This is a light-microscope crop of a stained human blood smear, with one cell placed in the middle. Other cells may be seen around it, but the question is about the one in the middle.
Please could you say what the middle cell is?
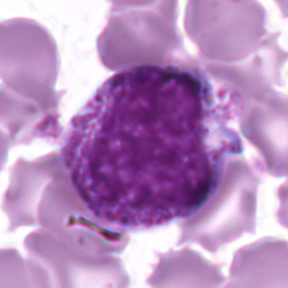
myelocyte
